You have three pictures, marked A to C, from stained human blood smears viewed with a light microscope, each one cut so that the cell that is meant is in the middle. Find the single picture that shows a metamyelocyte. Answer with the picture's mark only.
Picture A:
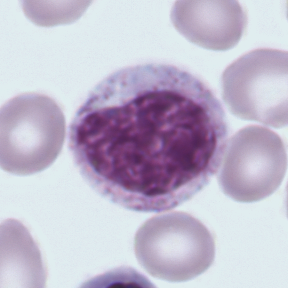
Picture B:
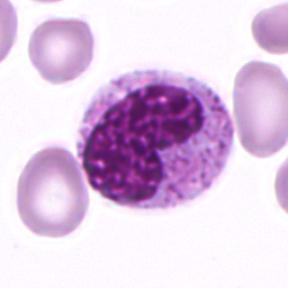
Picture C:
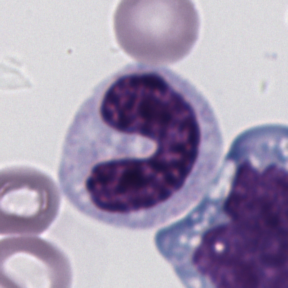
A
